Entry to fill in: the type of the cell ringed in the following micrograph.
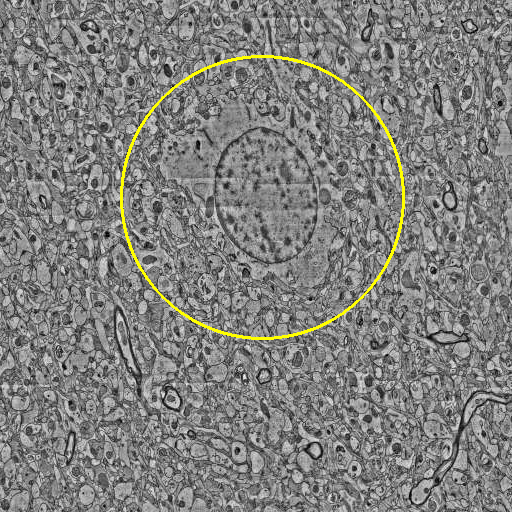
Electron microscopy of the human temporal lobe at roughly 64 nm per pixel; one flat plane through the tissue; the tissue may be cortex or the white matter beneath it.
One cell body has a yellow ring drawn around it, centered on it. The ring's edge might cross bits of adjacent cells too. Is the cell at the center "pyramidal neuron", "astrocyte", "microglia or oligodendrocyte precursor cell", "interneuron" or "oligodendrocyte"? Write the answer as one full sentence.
This entry names an astrocyte as the cell whose body lies at the ring's center.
